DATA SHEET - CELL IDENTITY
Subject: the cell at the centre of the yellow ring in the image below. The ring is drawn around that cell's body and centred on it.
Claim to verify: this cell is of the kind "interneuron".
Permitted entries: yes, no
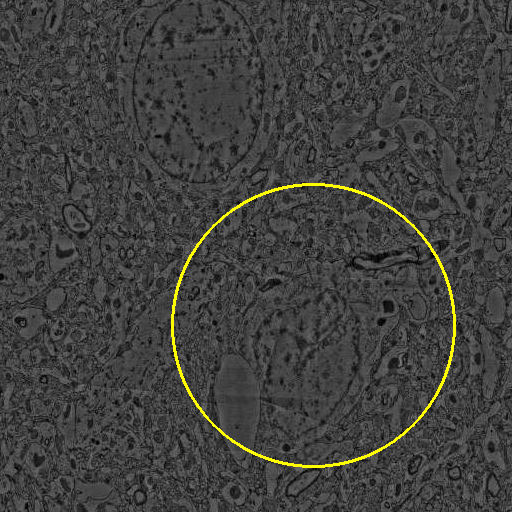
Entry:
yes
